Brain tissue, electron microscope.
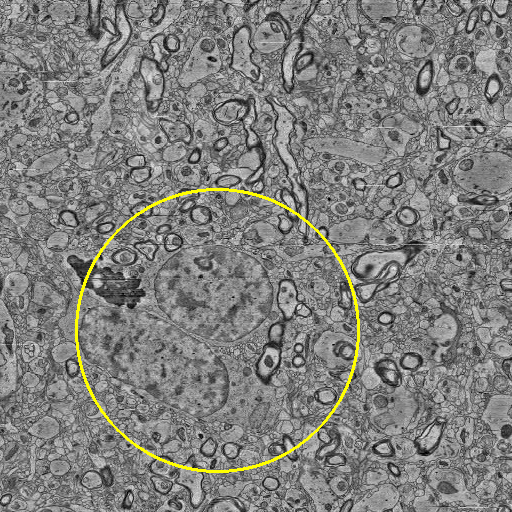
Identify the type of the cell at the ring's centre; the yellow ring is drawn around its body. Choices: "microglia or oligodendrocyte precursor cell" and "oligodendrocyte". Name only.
oligodendrocyte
